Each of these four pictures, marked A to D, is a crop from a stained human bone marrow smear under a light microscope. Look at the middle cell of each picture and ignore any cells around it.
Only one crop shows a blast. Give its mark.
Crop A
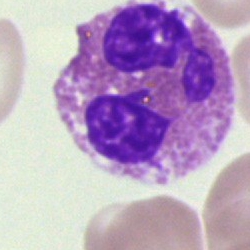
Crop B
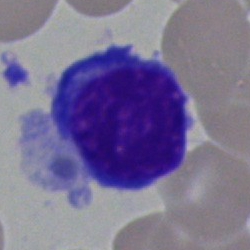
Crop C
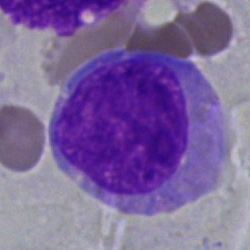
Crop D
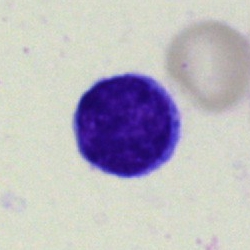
C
